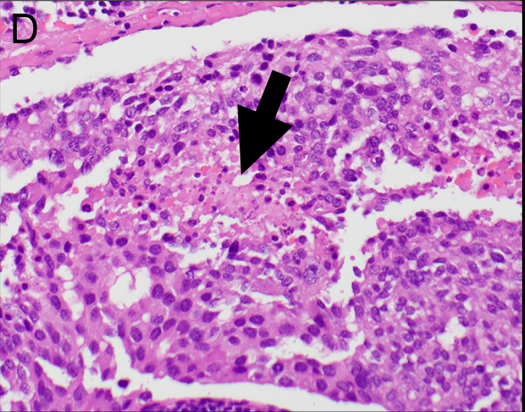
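This is a high-power view of a nested tumour made of round to oval cells. Within one nest there is a pale pink, granular area with scattered nuclear debris and few intact nuclei, which is a focus of necrosis. Along the top edge runs a band of pink fibrous tissue.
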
